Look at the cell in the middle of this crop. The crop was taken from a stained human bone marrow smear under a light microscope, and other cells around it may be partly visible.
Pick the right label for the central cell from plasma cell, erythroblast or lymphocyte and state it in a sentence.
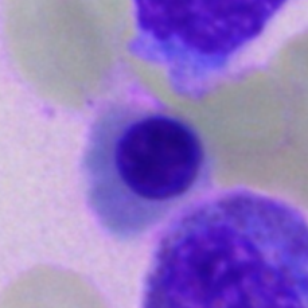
Located at the centre of the crop is an erythroblast.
